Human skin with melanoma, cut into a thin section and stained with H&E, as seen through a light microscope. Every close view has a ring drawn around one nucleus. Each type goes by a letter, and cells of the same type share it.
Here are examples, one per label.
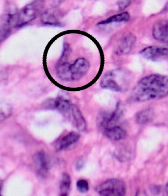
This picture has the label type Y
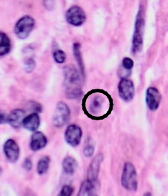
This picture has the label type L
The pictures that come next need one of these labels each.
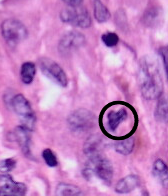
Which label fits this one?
type L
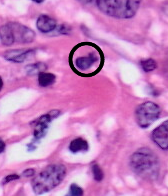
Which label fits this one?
type L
